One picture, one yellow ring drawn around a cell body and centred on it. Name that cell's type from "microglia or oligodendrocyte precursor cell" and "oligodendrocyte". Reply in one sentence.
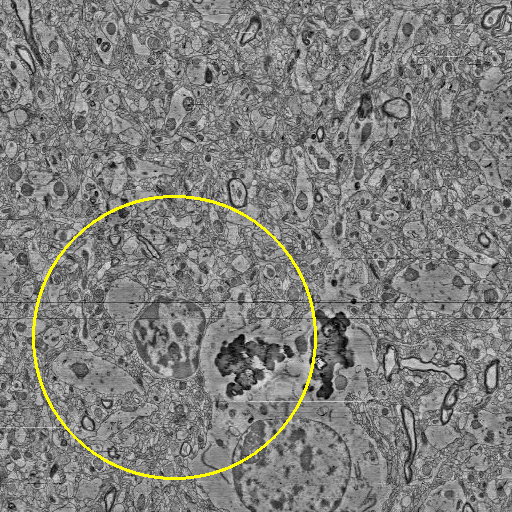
Centred in the ring is a microglial cell or oligodendrocyte precursor cell.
